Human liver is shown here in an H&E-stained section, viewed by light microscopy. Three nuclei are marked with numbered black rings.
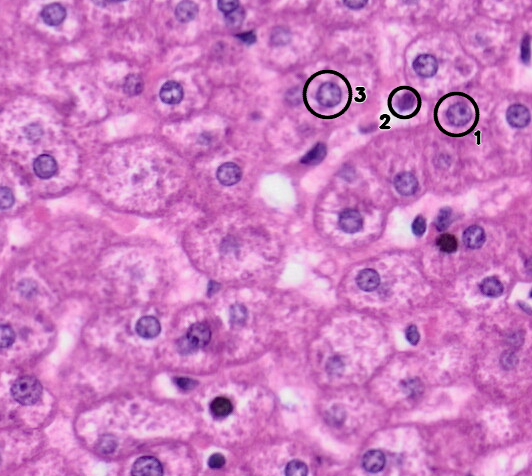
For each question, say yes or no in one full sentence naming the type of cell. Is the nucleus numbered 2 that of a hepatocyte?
No, cell 2 is not a hepatocyte. It is a Kupffer cell.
